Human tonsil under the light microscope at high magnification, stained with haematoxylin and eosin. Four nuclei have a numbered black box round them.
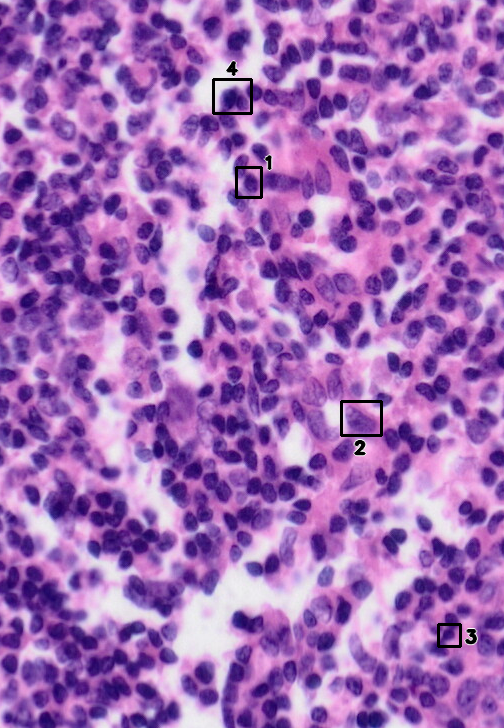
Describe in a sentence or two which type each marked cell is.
Cell 1 is a small lymphocyte, cell 2 is an endothelial cell, cell 3 is a small lymphocyte and cell 4 is a small lymphocyte.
